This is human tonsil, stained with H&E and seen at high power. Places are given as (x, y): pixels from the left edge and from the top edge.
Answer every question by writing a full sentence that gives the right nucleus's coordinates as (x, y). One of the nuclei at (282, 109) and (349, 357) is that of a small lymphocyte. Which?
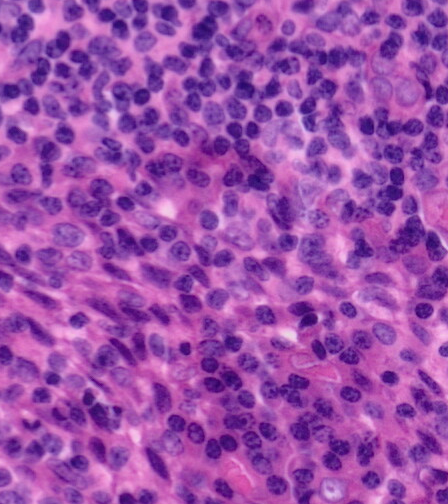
Of the two nuclei, the one sitting at (282, 109) belongs to a small lymphocyte.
